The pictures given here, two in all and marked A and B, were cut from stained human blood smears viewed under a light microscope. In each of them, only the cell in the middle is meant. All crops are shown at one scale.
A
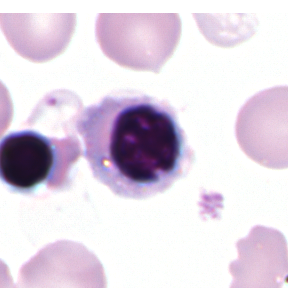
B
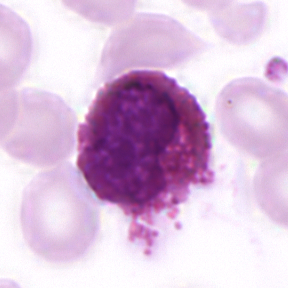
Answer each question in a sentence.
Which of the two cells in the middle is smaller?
Smaller is the cell in crop A, and the other is about 2 times as large in area.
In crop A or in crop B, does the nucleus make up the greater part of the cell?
It is the cell in crop B that is filled more by its nucleus.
